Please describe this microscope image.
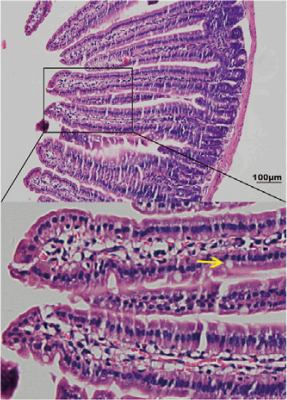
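Small intestinal mucosa with long, slender, finger-like villi projecting into the lumen, each covered by a single layer of tall columnar epithelial cells. The epithelial nuclei are elongated, dark purple and lined up near the base of the cells, giving a palisaded look, with pink cytoplasm toward the lumen. Scattered among them are pale, rounded goblet cells. Each villus has a narrow core of loose connective tissue holding small, round, dark nuclei. The epithelial lining is continuous to the tips.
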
